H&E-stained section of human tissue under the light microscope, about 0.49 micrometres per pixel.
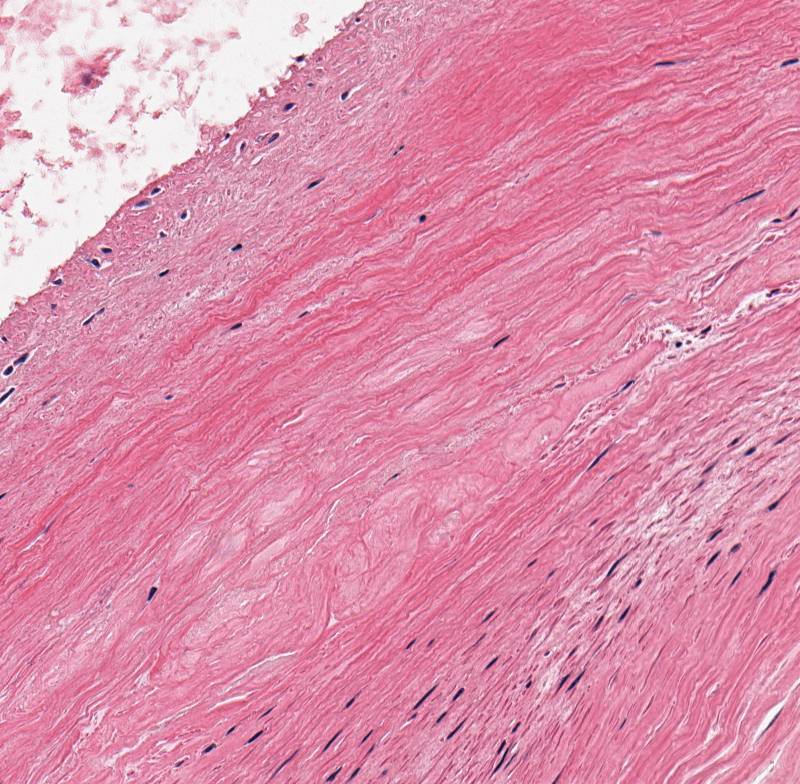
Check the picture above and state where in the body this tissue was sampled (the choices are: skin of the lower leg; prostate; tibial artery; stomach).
tibial artery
